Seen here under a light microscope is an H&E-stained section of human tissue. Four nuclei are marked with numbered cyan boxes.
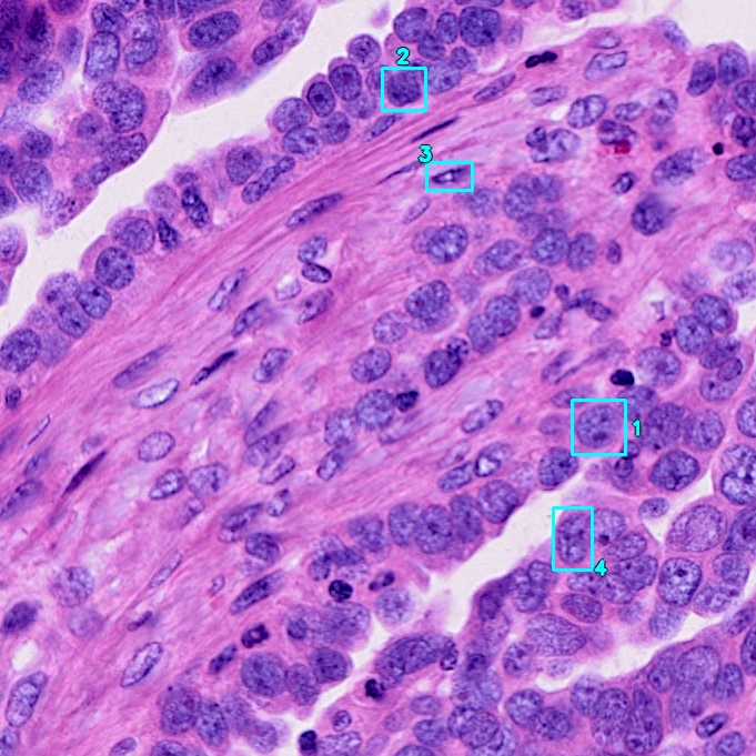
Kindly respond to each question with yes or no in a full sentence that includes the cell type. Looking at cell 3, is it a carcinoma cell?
No, the cell numbered 3 is a fibroblast rather than a carcinoma cell.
